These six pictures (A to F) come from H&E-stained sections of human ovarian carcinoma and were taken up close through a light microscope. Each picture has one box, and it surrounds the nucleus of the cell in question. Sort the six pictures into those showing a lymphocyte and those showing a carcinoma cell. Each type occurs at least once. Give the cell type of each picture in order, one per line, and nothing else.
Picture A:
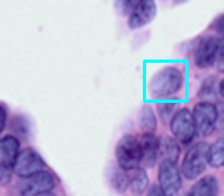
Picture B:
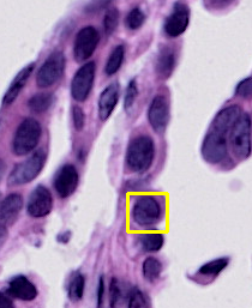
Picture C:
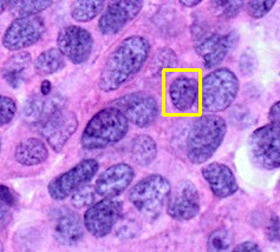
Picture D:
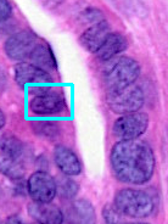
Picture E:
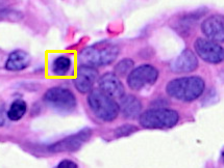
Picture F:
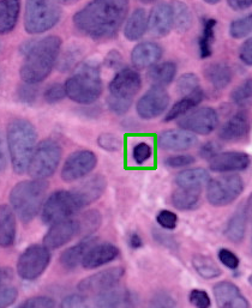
carcinoma cell
carcinoma cell
carcinoma cell
carcinoma cell
lymphocyte
lymphocyte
